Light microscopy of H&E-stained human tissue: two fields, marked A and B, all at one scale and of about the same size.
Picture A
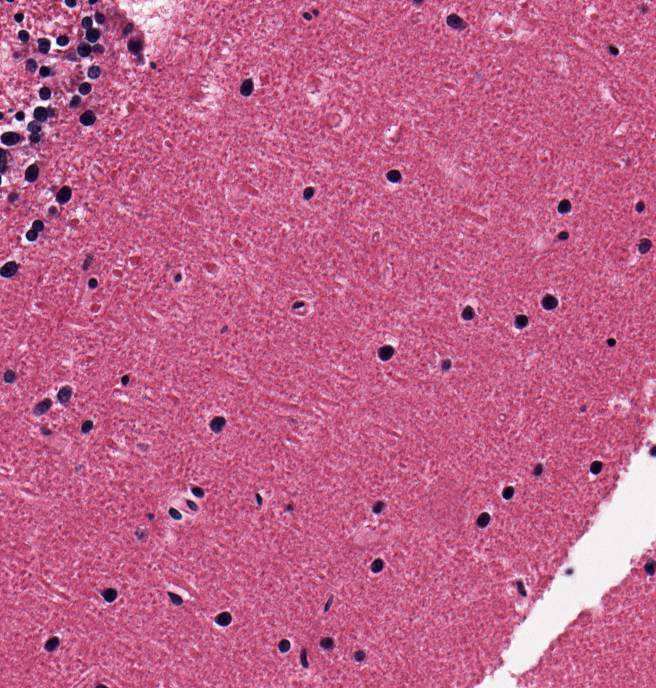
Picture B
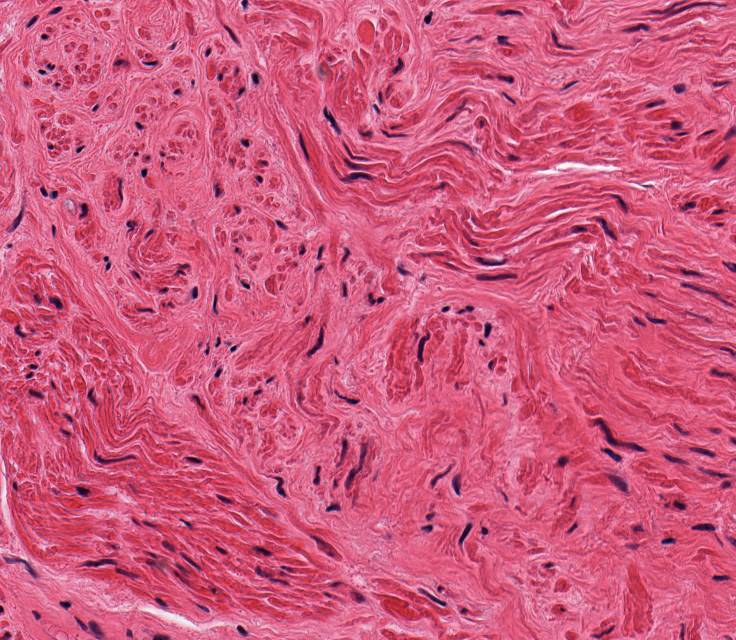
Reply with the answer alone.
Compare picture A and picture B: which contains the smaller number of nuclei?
A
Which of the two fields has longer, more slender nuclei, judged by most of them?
B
